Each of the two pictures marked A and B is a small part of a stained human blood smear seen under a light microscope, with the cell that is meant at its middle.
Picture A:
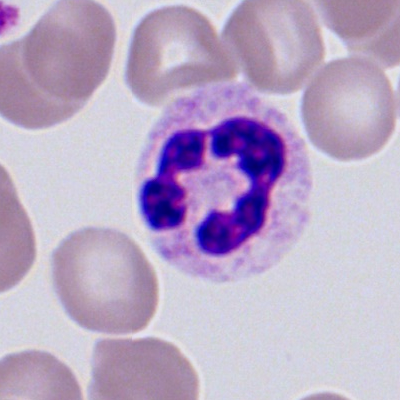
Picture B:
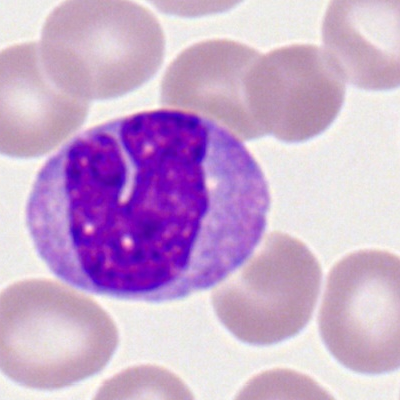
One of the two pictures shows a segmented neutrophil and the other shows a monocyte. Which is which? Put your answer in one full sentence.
Picture A shows a segmented neutrophil and picture B shows a monocyte.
